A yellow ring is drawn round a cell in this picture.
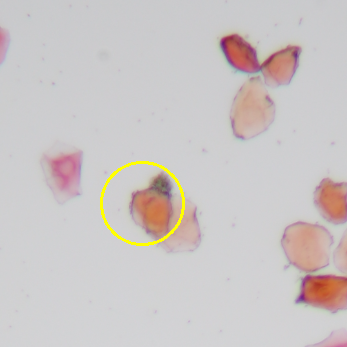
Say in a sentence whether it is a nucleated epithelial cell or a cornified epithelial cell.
The cell in the ring is a cornified epithelial cell.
